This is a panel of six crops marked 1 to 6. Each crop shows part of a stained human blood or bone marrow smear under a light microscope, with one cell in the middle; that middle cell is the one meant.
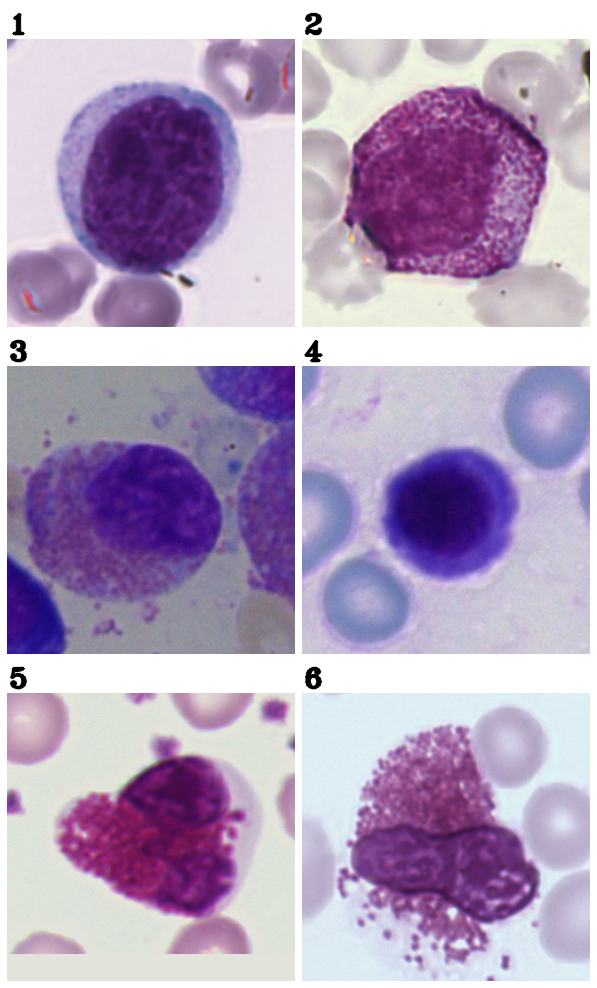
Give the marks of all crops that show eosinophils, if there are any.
3, 5, 6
